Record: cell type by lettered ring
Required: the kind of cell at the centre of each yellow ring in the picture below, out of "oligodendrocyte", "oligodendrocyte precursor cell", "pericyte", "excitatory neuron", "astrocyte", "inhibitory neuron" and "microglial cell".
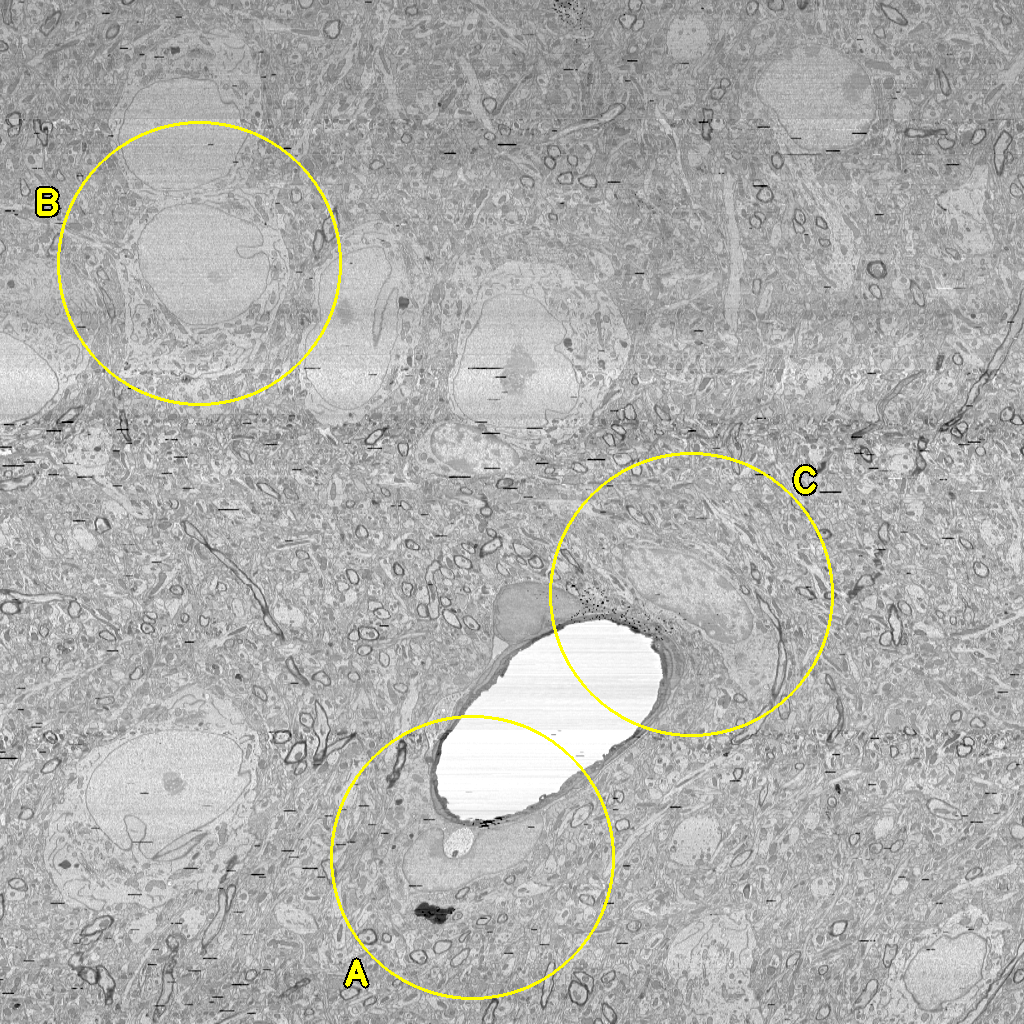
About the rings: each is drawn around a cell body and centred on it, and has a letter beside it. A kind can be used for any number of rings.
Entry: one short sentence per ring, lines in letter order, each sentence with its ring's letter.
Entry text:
At ring A we have an astrocyte.
At ring B we have an inhibitory neuron.
At ring C we have an oligodendrocyte.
